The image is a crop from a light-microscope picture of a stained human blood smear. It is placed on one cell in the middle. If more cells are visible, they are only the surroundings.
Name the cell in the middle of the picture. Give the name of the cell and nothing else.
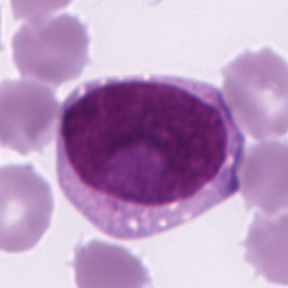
myeloblast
